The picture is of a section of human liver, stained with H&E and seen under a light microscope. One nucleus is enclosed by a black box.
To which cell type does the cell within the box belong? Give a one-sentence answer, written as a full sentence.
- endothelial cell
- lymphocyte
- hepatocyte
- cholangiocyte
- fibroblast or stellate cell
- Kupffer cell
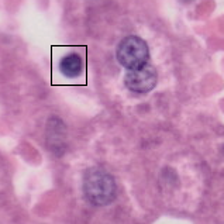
The cell type of the cell within the box is that of a lymphocyte.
